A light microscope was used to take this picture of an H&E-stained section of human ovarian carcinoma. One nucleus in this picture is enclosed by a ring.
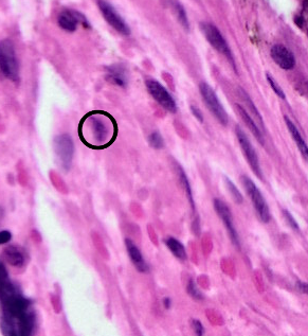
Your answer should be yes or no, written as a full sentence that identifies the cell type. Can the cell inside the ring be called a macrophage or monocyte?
No, on this slide the cell inside the ring is a fibroblast, not a macrophage or monocyte.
